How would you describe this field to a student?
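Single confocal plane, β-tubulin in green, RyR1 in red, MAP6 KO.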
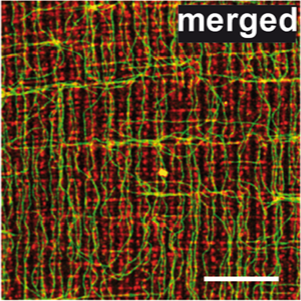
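Fine red dotted bands run vertically at regular intervals across the field. Thin green filaments follow many of these bands as vertical lines. Numerous green segments also run horizontally, crossing several bands, so the network forms a dense, irregular grid.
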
